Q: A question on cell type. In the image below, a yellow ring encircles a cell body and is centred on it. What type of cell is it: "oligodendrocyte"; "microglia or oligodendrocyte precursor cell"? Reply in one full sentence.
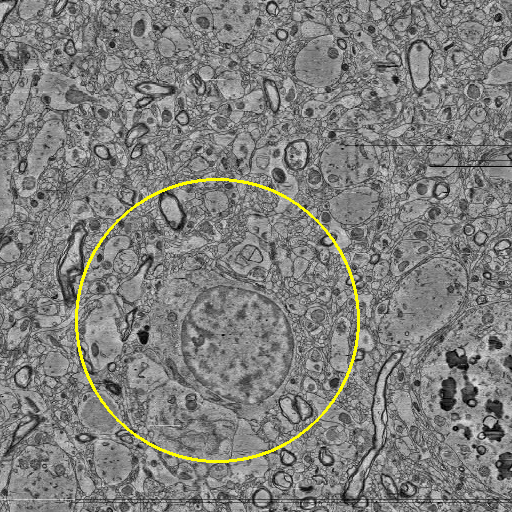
It is an oligodendrocyte whose cell body sits at the centre of the yellow ring in the image.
